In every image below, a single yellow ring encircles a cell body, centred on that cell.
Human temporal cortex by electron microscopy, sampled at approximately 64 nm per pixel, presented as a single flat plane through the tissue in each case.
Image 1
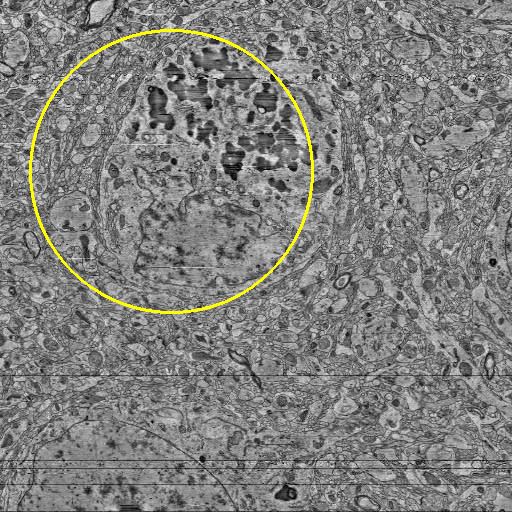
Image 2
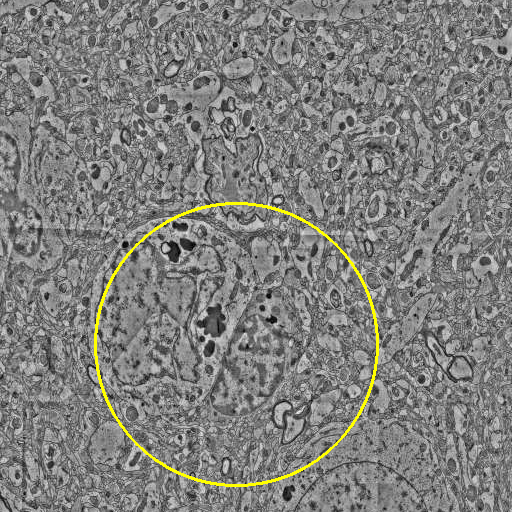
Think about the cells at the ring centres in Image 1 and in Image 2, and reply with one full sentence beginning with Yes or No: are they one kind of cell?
No, the cells centred in the rings of Image 1 and Image 2 are two kinds of cell.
